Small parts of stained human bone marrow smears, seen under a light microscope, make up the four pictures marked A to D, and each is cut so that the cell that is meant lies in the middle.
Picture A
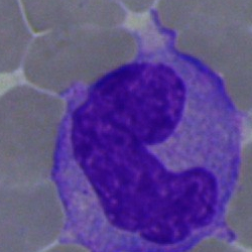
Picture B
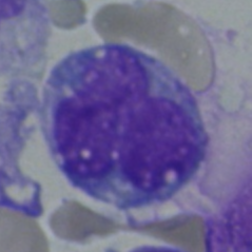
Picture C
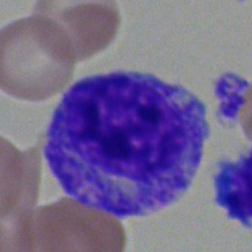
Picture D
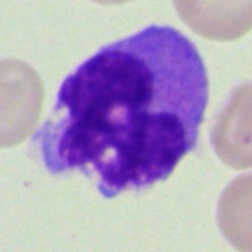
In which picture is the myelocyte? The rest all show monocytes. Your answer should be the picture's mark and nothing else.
C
